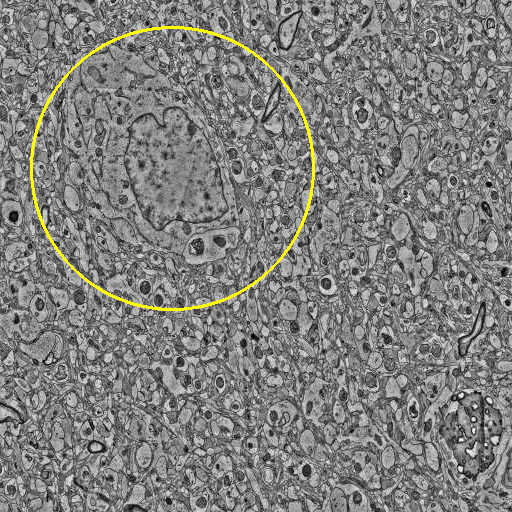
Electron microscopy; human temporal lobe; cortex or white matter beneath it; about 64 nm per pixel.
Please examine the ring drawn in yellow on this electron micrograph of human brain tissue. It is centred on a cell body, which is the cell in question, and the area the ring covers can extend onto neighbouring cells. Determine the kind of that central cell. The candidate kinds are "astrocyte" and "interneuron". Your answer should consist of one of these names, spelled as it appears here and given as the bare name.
interneuron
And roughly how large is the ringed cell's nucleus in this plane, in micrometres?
The nucleus has a long axis of about 8 micrometres and a short axis of about 6 micrometres in this plane.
